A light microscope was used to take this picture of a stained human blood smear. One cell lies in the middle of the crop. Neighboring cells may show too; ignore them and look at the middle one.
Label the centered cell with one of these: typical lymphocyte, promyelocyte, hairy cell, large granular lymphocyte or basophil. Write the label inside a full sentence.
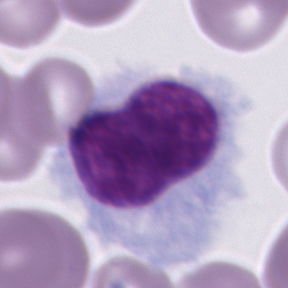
The middle cell in this particular crop is a hairy cell.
